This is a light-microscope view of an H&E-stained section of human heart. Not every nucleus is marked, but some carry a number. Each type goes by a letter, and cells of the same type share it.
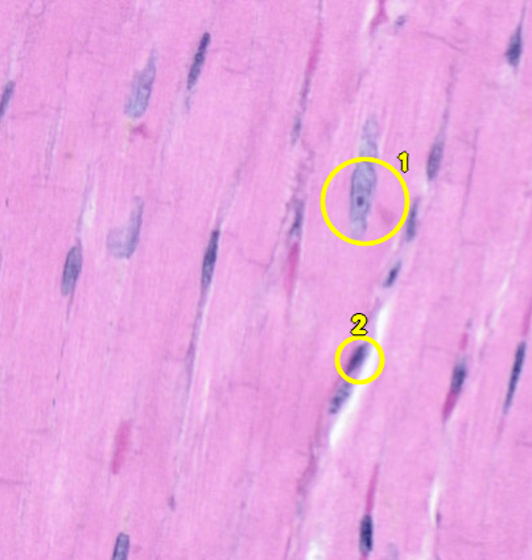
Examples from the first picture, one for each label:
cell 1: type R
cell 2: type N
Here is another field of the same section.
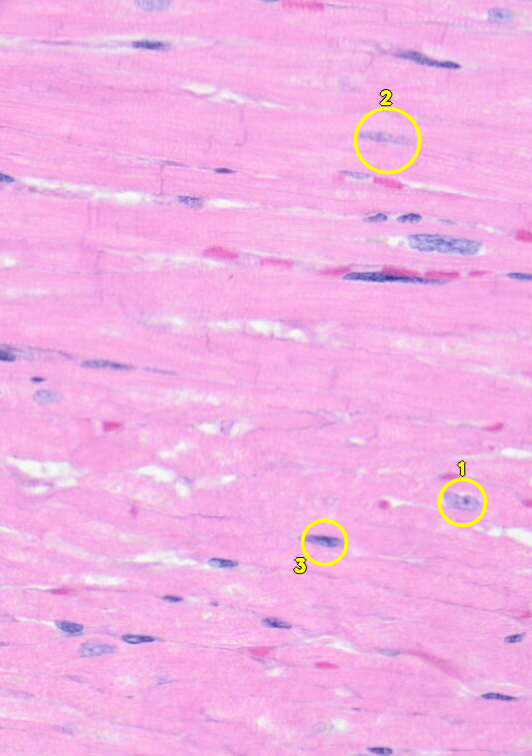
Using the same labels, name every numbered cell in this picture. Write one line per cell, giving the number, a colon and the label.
1: type R
2: type R
3: type N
